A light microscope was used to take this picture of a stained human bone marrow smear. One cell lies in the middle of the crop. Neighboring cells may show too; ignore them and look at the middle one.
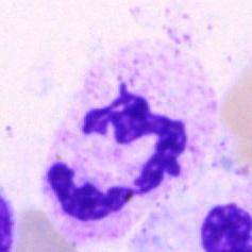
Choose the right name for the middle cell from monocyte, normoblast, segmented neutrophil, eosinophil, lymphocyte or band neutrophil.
segmented neutrophil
